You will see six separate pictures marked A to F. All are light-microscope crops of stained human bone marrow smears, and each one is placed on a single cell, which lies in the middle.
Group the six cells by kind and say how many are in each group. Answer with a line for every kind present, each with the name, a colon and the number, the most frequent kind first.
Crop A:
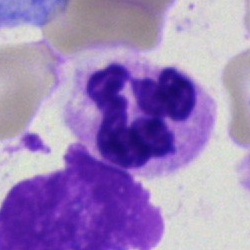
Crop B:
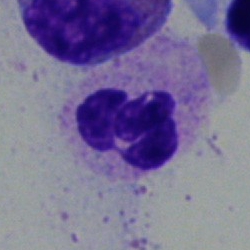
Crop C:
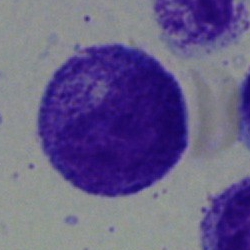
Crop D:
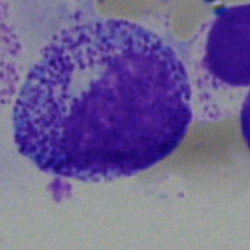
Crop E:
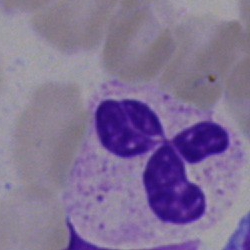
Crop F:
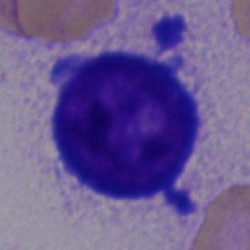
segmented neutrophil: 3
myelocyte: 2
proerythroblast: 1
